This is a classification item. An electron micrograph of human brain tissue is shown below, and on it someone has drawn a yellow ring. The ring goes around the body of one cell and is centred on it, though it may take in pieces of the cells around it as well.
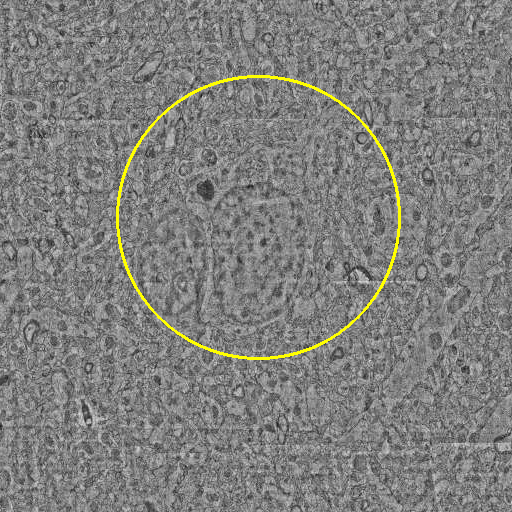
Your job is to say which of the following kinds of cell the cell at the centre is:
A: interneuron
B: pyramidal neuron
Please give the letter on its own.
A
